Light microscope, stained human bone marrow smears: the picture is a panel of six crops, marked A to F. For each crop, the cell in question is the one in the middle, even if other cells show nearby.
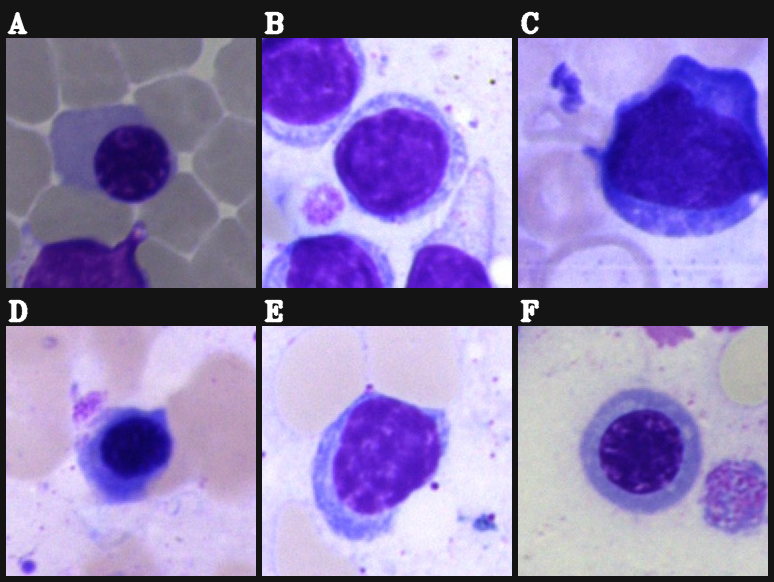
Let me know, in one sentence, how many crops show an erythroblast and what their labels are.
Well, three crops show erythroblasts, and those are A, D and F.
